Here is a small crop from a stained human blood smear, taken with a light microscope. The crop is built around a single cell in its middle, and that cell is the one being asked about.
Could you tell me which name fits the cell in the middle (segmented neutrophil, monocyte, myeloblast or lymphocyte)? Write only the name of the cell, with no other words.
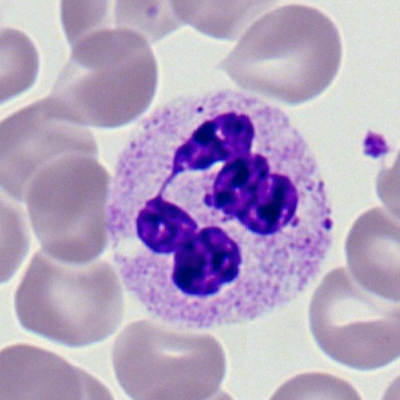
segmented neutrophil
